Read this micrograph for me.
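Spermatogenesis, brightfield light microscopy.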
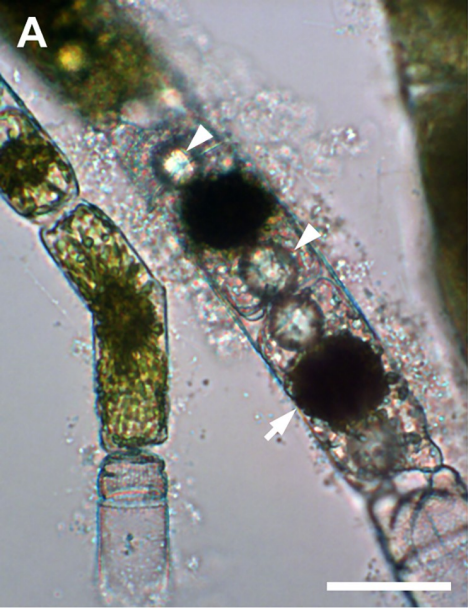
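To the left, a neighbouring cell shows golden-brown chloroplasts spread through its cytoplasm, and below it lies an empty, transparent wall. Fine granular debris surrounds the central cell.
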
